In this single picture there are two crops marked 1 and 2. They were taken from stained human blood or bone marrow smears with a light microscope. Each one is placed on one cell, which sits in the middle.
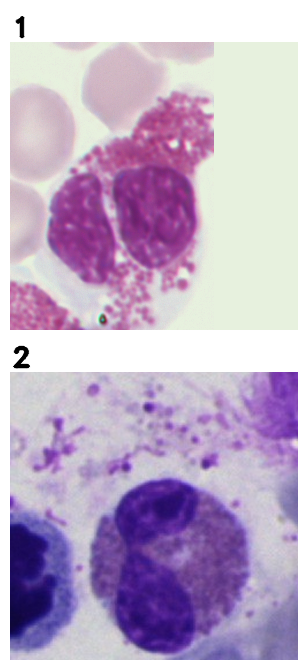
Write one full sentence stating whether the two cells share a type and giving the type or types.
Yes, it is eosinophils that sit at the centre of both crops.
